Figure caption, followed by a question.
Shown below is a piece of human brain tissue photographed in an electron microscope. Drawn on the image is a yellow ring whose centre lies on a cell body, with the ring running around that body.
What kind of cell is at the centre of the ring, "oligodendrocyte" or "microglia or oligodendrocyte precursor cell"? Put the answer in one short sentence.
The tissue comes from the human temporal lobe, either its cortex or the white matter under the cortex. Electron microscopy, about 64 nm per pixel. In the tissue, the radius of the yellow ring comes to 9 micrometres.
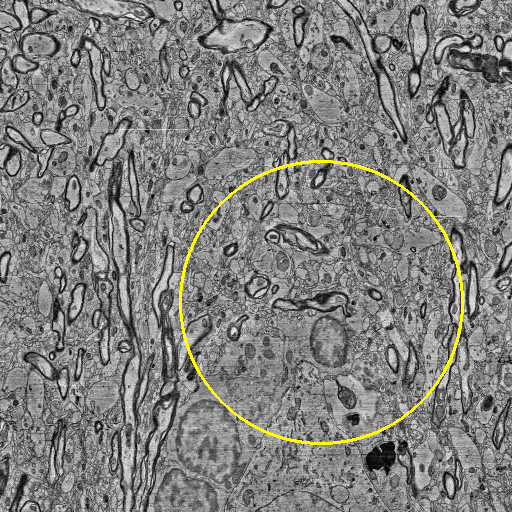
The ring marks the cell body of an oligodendrocyte.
